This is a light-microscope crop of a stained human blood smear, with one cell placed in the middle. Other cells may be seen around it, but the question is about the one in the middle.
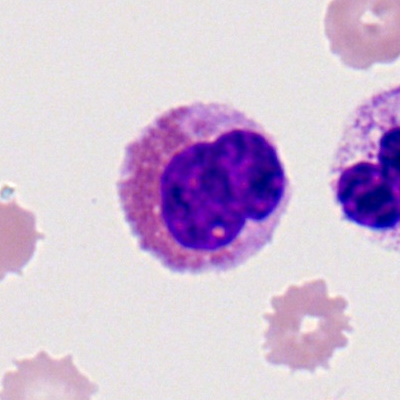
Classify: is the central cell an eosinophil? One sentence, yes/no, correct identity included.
Yes, the cell occupying the center is an eosinophil.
